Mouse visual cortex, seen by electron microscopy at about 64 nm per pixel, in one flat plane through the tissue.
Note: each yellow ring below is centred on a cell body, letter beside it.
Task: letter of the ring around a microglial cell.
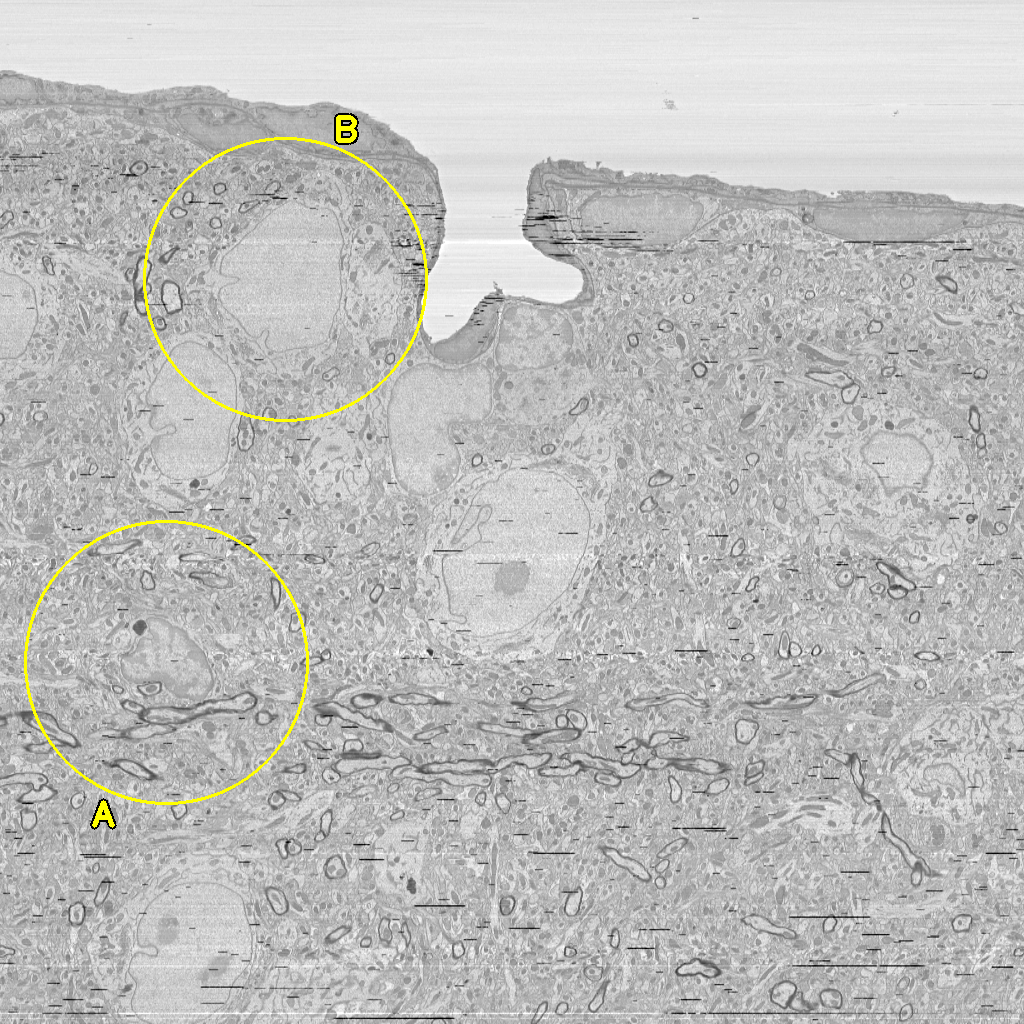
A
